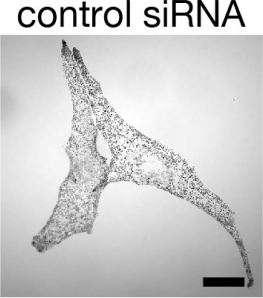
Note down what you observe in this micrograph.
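Unstained melanocytes with a flattened, branched shape and long tapering extensions are seen in bright field. Fine dark pigment granules, the melanosomes, are distributed throughout the cytoplasm from around the pale nucleus out to the tips of the extensions.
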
